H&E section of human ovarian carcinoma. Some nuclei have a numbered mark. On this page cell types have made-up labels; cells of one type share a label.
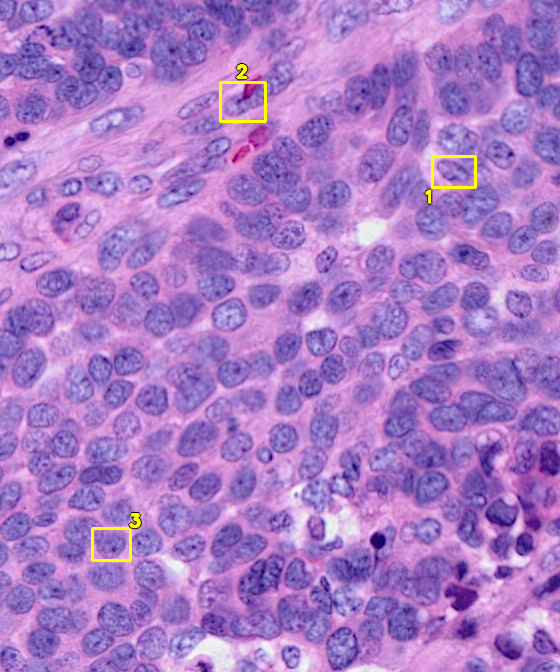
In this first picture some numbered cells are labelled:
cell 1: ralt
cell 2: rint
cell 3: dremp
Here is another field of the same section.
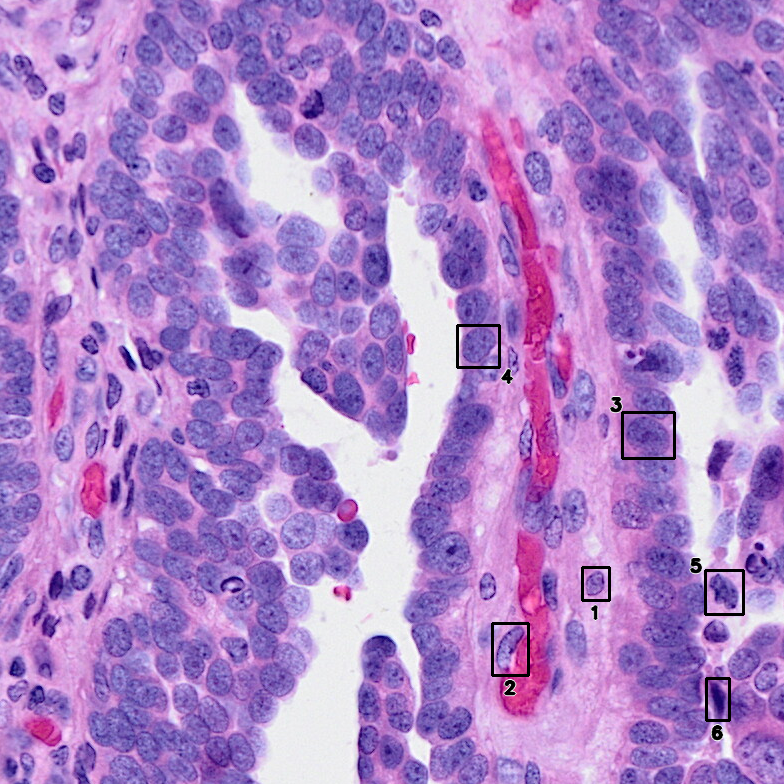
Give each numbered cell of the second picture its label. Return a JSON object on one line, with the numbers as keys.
{"1": "ralt", "2": "rint", "3": "dremp", "4": "dremp", "5": "ralt", "6": "dremp"}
